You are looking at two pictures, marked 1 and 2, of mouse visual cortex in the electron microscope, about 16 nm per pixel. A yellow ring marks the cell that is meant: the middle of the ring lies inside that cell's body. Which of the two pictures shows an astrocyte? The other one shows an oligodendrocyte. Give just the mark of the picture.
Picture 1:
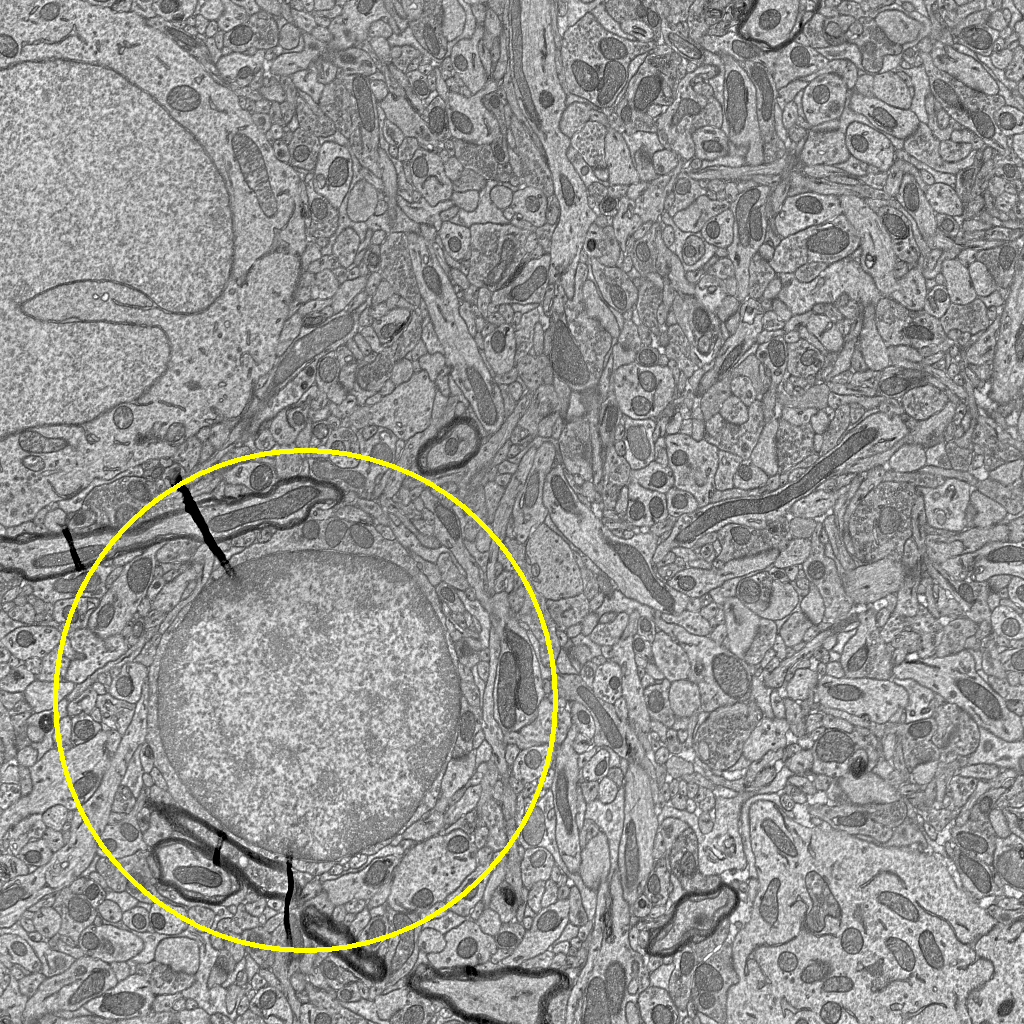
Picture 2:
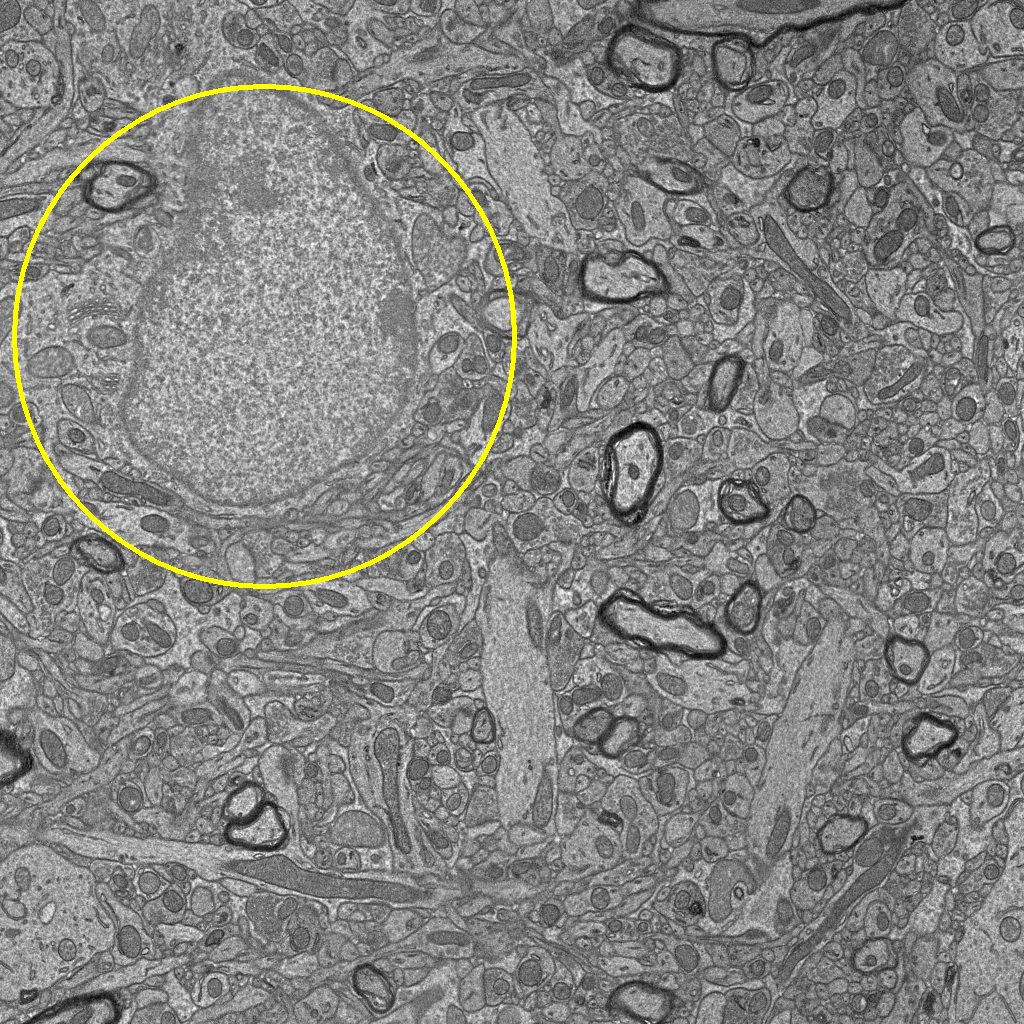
2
